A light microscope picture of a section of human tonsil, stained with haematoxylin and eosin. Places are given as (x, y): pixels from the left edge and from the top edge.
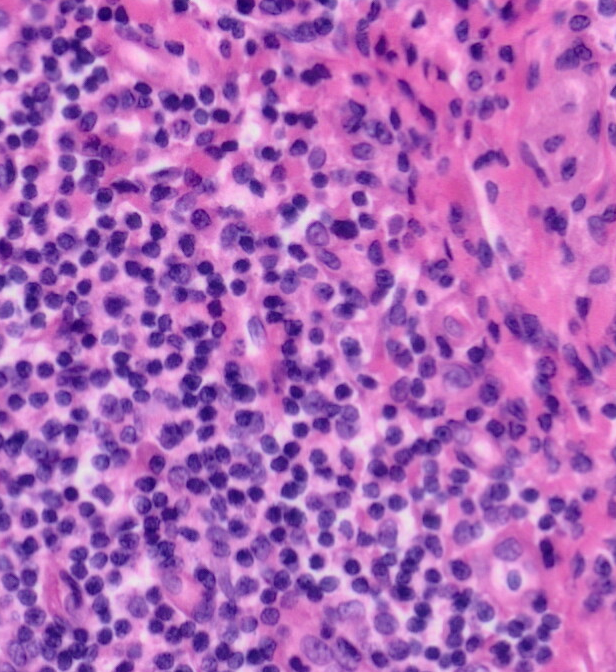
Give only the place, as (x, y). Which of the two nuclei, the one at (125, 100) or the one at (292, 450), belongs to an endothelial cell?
(125, 100)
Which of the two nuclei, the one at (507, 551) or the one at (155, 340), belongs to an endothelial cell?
(507, 551)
